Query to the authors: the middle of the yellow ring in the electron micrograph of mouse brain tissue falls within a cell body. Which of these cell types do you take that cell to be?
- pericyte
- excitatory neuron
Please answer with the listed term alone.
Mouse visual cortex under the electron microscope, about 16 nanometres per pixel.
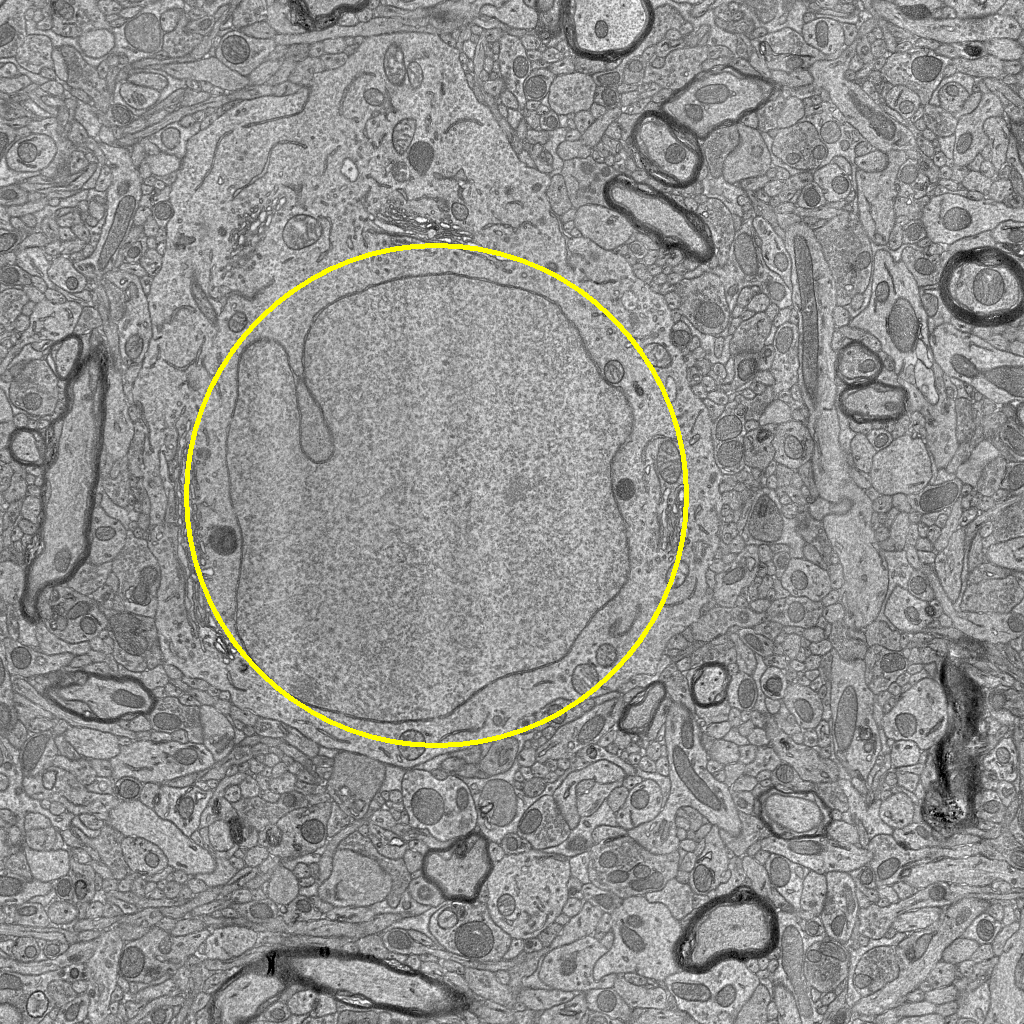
excitatory neuron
